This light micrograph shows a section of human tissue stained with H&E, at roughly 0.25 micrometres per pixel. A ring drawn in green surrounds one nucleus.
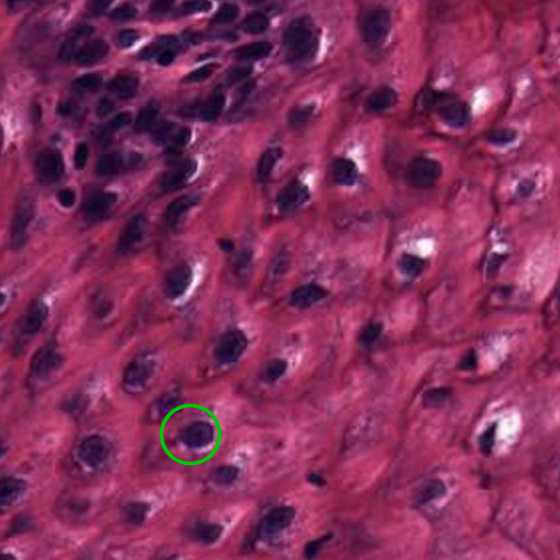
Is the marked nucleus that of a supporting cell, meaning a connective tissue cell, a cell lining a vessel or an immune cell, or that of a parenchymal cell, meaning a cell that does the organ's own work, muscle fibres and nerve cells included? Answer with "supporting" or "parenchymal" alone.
parenchymal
